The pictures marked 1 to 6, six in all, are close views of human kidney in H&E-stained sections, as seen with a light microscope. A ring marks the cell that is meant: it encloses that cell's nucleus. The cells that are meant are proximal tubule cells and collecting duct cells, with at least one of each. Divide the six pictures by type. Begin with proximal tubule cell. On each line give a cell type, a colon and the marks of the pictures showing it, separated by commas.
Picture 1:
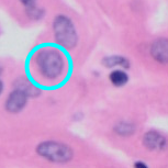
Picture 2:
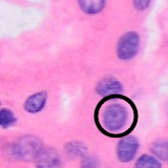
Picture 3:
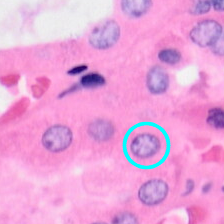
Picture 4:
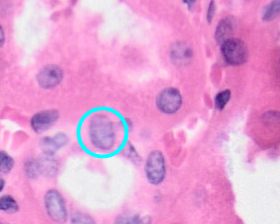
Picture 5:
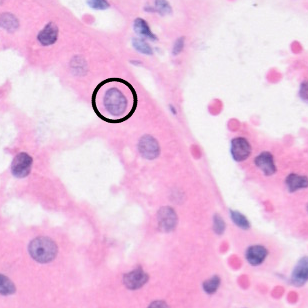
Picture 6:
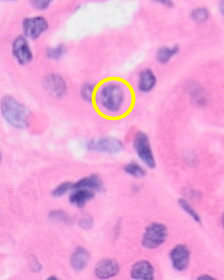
proximal tubule cell: 3, 5
collecting duct cell: 1, 2, 4, 6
